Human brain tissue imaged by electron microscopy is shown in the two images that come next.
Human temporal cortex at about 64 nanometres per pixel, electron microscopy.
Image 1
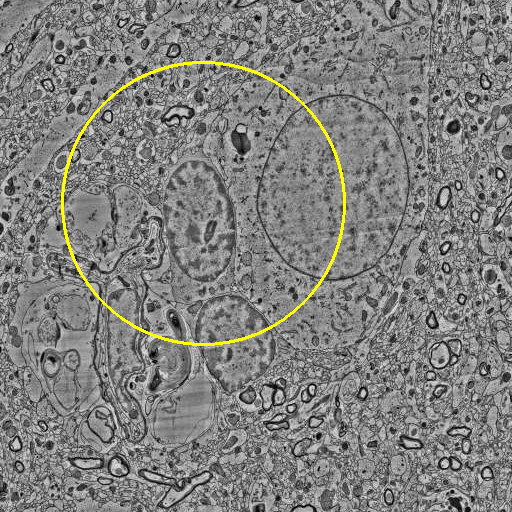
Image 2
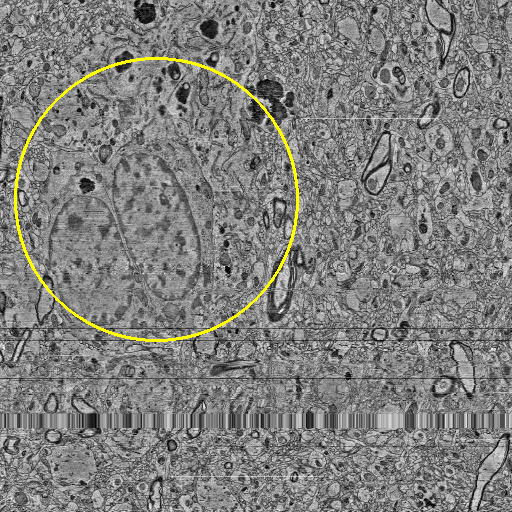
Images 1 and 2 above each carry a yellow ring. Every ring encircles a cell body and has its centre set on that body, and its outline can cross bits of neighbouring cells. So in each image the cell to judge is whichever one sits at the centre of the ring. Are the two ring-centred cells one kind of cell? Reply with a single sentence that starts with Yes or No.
Yes, in Image 1 and Image 2 the cells at the centres of their rings fall into one type.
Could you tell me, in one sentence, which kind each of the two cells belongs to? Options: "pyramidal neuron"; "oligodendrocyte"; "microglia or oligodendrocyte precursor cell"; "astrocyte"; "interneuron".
The first and the second cell are each an oligodendrocyte.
